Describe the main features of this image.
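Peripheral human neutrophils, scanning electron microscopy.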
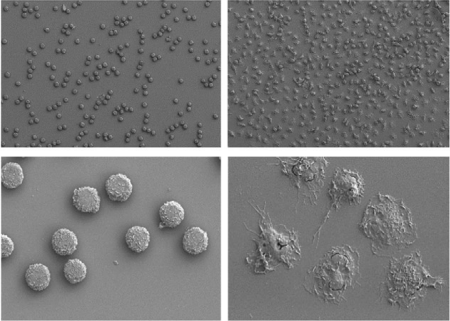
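In the left column the cells are evenly scattered and spherical, of similar size, with a surface covered by fine ruffles and small knobs. In the right column the cells are more crowded and flattened against the substrate. Their outlines are irregular and spread out. They have thin sheet-like membrane edges, and fine filamentous projections extend onto the surface. The cells no longer keep a rounded form.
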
